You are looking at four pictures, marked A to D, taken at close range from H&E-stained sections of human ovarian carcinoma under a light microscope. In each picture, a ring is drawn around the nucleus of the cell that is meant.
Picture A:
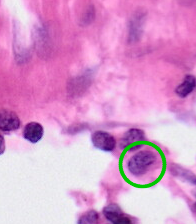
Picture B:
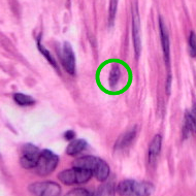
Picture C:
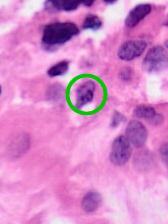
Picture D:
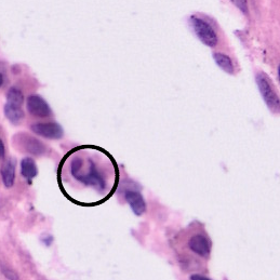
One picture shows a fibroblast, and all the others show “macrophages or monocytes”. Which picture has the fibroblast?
B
